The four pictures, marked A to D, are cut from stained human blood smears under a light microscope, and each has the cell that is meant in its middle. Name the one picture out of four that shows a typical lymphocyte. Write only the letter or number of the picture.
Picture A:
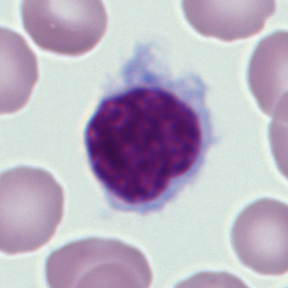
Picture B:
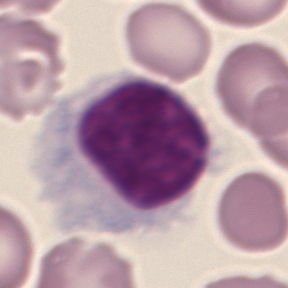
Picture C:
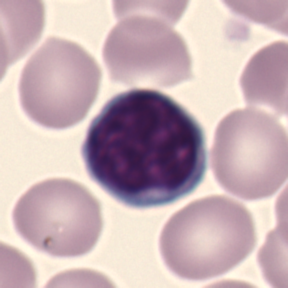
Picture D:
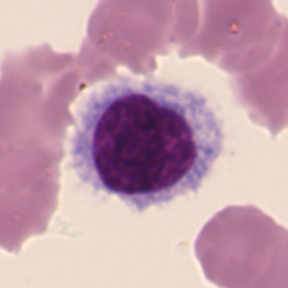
C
